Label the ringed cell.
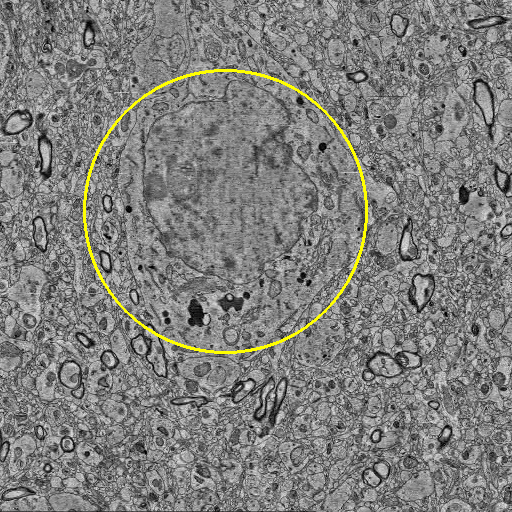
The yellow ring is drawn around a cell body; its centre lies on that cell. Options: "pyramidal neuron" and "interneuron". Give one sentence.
The ringed cell is an interneuron.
